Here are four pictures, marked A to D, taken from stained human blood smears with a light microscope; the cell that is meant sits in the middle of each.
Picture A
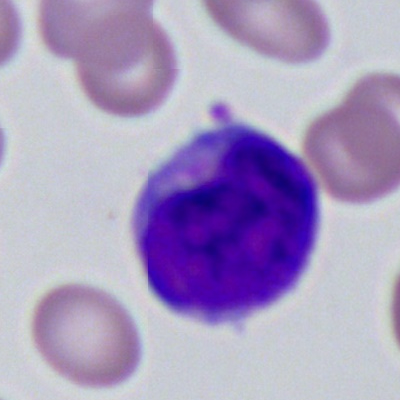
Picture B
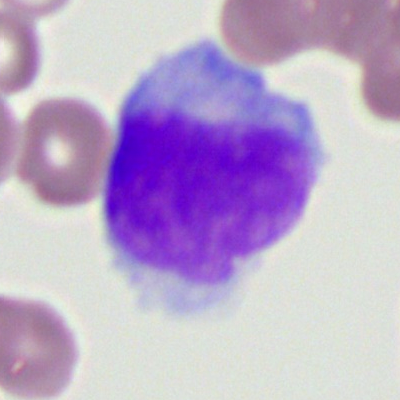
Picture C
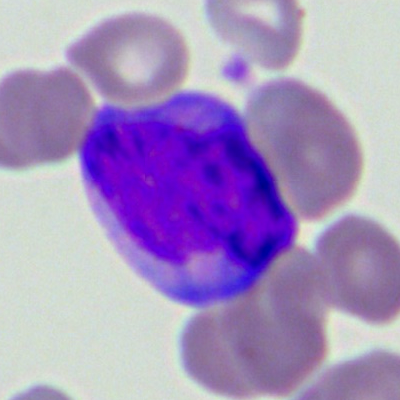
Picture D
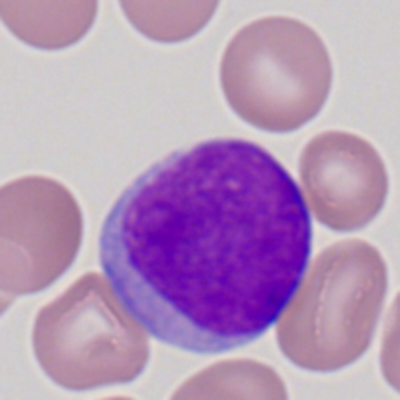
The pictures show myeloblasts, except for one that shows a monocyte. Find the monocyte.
B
